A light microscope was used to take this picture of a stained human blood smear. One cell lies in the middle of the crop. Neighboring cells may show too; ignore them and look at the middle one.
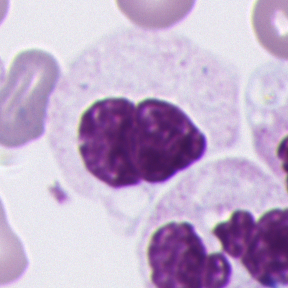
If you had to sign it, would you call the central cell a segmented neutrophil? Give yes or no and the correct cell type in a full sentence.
Yes, the cell that the crop is centered on is a segmented neutrophil.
